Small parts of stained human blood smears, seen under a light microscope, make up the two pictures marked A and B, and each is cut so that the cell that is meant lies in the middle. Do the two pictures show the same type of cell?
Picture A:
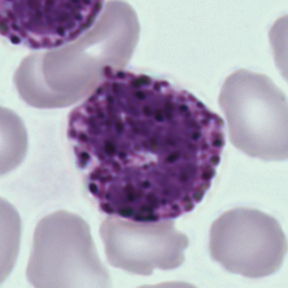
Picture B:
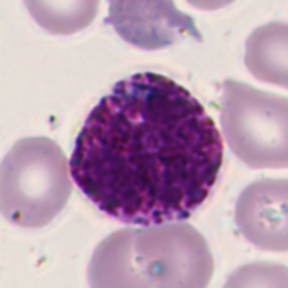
yes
